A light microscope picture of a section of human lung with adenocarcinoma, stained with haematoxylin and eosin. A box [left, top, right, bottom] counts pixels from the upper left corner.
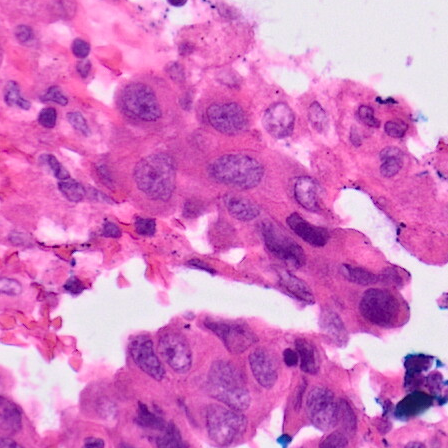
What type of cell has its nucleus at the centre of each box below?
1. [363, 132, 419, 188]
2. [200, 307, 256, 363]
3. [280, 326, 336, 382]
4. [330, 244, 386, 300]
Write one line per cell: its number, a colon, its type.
1: macrophage or monocyte
2: carcinoma cell
3: carcinoma cell
4: carcinoma cell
